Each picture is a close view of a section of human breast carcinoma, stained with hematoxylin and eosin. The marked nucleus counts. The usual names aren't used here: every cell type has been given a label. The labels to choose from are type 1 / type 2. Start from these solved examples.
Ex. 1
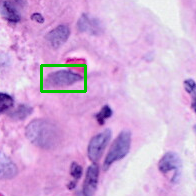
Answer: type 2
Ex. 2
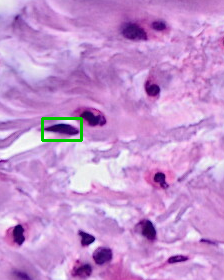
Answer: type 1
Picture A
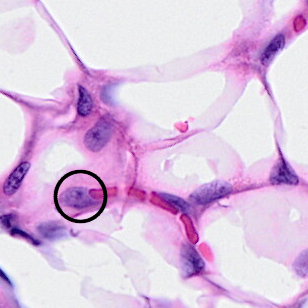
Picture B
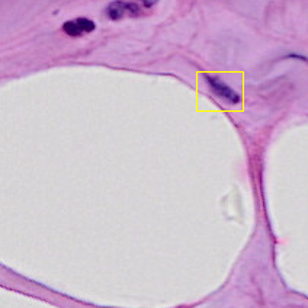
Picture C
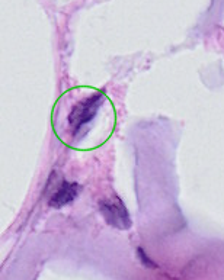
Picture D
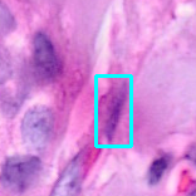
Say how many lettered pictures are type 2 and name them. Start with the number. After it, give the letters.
2, namely A, D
